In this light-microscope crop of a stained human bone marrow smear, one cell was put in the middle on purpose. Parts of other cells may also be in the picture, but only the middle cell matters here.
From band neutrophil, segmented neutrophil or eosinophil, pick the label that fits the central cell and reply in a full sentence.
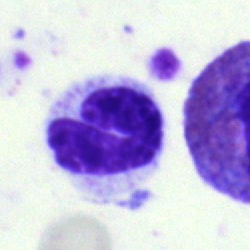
The single cell at the center of the crop is a band neutrophil.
